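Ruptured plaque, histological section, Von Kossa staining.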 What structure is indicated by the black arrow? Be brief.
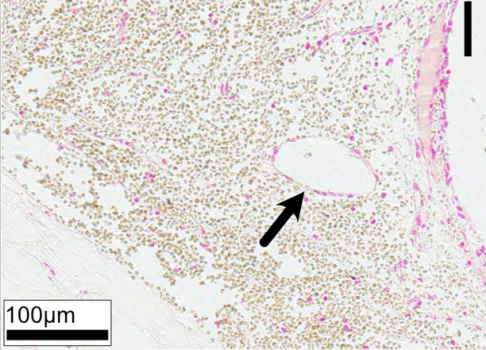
neo-vessel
